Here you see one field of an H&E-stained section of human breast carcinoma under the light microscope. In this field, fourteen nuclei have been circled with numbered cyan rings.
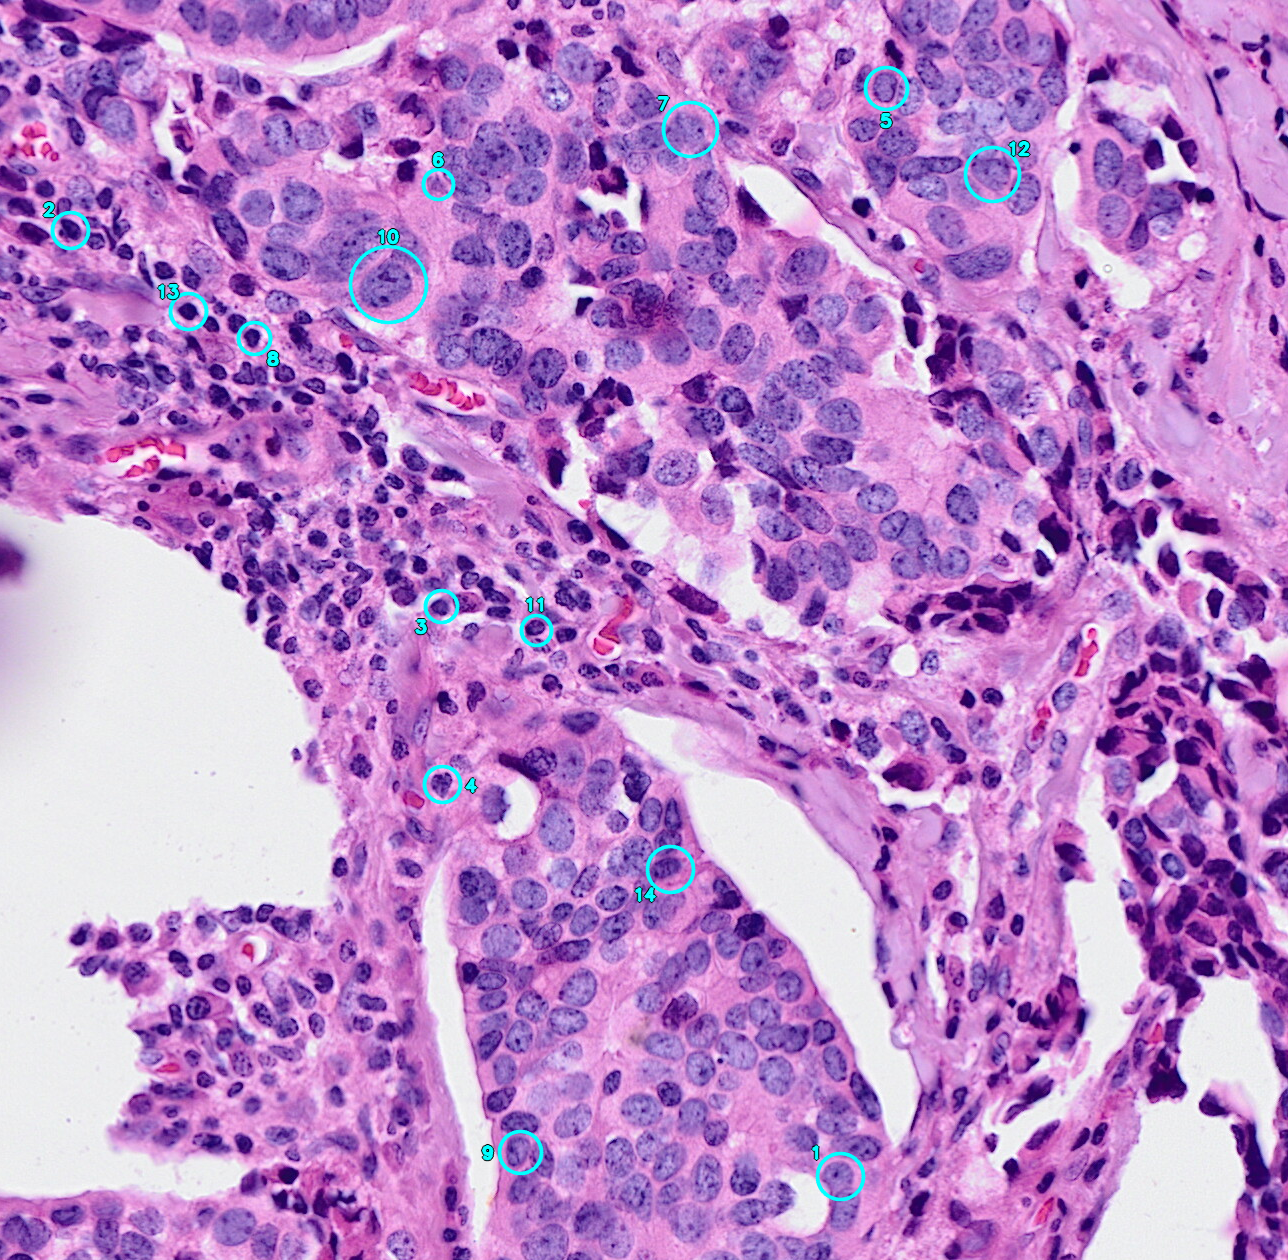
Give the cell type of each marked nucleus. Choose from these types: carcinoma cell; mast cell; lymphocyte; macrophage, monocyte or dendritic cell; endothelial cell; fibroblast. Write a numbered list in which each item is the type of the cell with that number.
1. carcinoma cell
2. lymphocyte
3. lymphocyte
4. lymphocyte
5. carcinoma cell
6. carcinoma cell
7. carcinoma cell
8. lymphocyte
9. carcinoma cell
10. carcinoma cell
11. lymphocyte
12. carcinoma cell
13. lymphocyte
14. carcinoma cell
